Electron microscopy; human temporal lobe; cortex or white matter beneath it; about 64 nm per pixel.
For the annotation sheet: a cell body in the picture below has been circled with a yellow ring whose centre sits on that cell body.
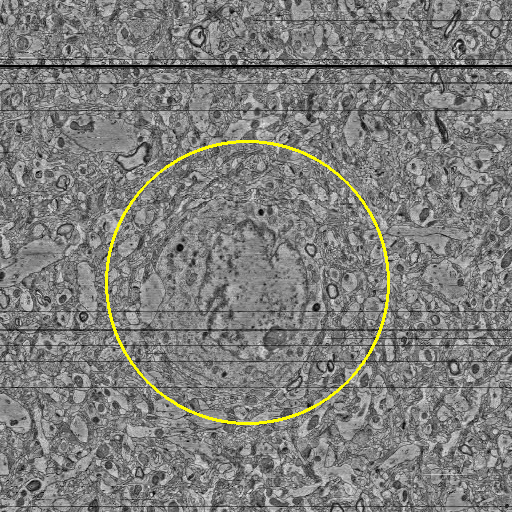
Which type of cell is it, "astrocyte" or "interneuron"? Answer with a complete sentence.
The circled cell is an interneuron.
